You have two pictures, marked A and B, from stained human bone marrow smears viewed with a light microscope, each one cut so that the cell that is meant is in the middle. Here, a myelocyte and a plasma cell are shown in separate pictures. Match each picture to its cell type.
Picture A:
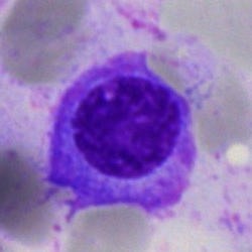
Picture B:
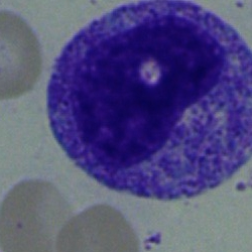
A: plasma cell
B: myelocyte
